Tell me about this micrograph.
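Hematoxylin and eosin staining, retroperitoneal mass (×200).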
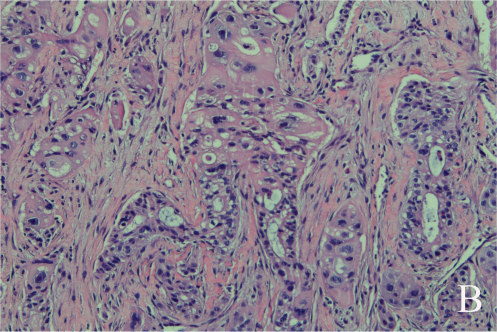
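Adenocarcinoma infiltrating a fibrous stroma. Irregular glands, cords and solid nests of atypical epithelial cells lie scattered among pink, spindle-cell-rich fibrous tissue. Many nests contain small round or slit-like lumens, and some cells have clear, vacuolated cytoplasm. The tumour cells have enlarged, pleomorphic, dark-staining nuclei and moderate amounts of pale pink cytoplasm. The stroma between the nests is dense and fibrous, with elongated fibroblast nuclei running in bundles around the epithelial groups. Normal organised tissue architecture is not seen.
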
